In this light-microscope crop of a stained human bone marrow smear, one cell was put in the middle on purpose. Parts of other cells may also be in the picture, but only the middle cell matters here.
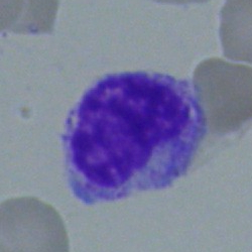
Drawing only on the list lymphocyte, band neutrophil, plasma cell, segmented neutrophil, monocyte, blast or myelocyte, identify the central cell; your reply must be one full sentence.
The middle of this crop is occupied by a myelocyte.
